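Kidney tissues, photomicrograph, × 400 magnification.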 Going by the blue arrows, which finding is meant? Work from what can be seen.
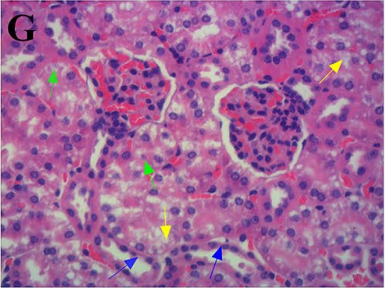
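The blue arrows point at thin cells lining a tubule lumen. These lining cells are low compared with neighbouring tubular cells.
Conclusion: flattening of the tubular epithelium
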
